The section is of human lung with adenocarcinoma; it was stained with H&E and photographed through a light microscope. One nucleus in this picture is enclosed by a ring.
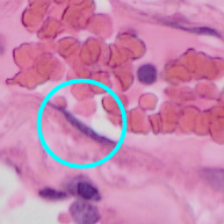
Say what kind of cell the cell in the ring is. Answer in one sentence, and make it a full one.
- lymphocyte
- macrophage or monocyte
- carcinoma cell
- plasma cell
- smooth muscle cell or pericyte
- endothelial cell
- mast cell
The identity of the cell in the ring: it is an endothelial cell.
